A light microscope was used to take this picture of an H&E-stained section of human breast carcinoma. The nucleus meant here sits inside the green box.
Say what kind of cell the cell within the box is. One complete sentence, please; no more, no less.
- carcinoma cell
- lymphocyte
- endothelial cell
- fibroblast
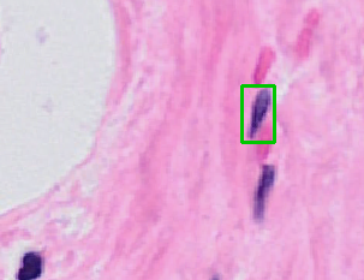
In this field of tissue, the cell within the box is an endothelial cell.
